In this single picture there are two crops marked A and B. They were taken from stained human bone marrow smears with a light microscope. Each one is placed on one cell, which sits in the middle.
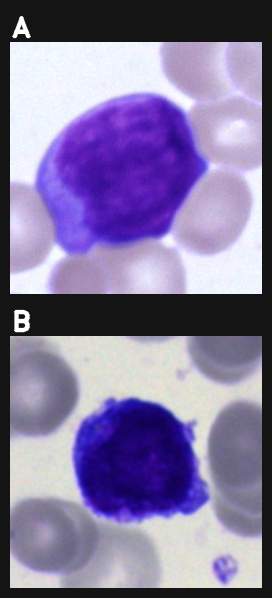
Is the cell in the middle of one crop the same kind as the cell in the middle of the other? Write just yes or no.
yes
